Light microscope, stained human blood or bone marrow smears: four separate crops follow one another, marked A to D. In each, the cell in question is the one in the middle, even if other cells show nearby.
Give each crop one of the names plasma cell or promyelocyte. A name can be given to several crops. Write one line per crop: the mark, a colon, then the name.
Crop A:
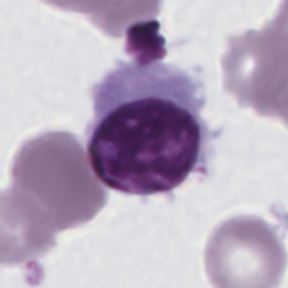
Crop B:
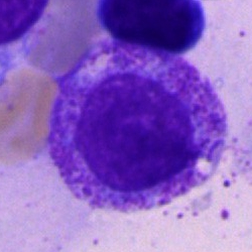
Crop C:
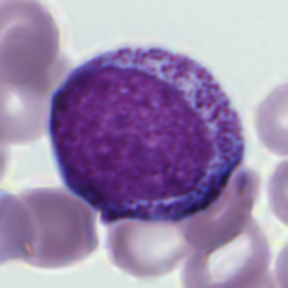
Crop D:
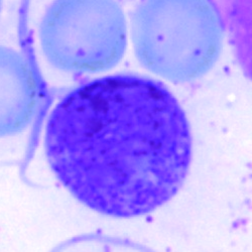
A: plasma cell
B: promyelocyte
C: promyelocyte
D: promyelocyte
